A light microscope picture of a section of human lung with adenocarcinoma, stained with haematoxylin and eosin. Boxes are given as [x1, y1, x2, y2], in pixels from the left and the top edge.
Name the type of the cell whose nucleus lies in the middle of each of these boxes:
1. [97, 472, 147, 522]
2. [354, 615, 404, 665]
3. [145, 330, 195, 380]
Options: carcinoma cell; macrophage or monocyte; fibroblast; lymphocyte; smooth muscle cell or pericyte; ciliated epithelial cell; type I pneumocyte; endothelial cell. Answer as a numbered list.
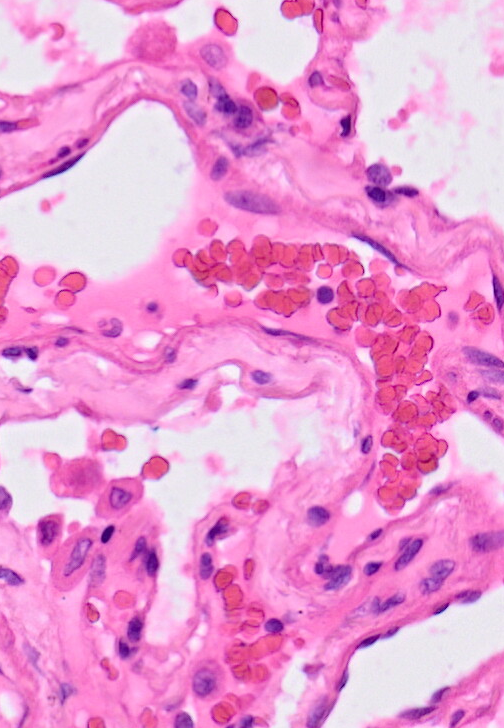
1. macrophage or monocyte
2. endothelial cell
3. smooth muscle cell or pericyte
